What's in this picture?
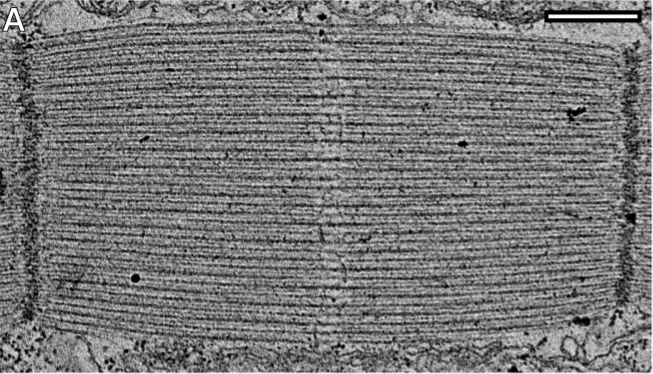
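Longitudinal electron micrograph of a flight muscle sarcomere, showing long, straight filaments running in parallel and closely packed across the whole width of the myofibril. At both ends the filaments meet dark, dense, straight transverse bands, the Z-discs, which span the full width of the bundle. A faint, paler transverse line crosses the middle of the sarcomere between them. The filaments are evenly spaced without gaps, giving a regular striped texture. Along the top and bottom edges lie membranes and small dense granules of the surrounding cytoplasm.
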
